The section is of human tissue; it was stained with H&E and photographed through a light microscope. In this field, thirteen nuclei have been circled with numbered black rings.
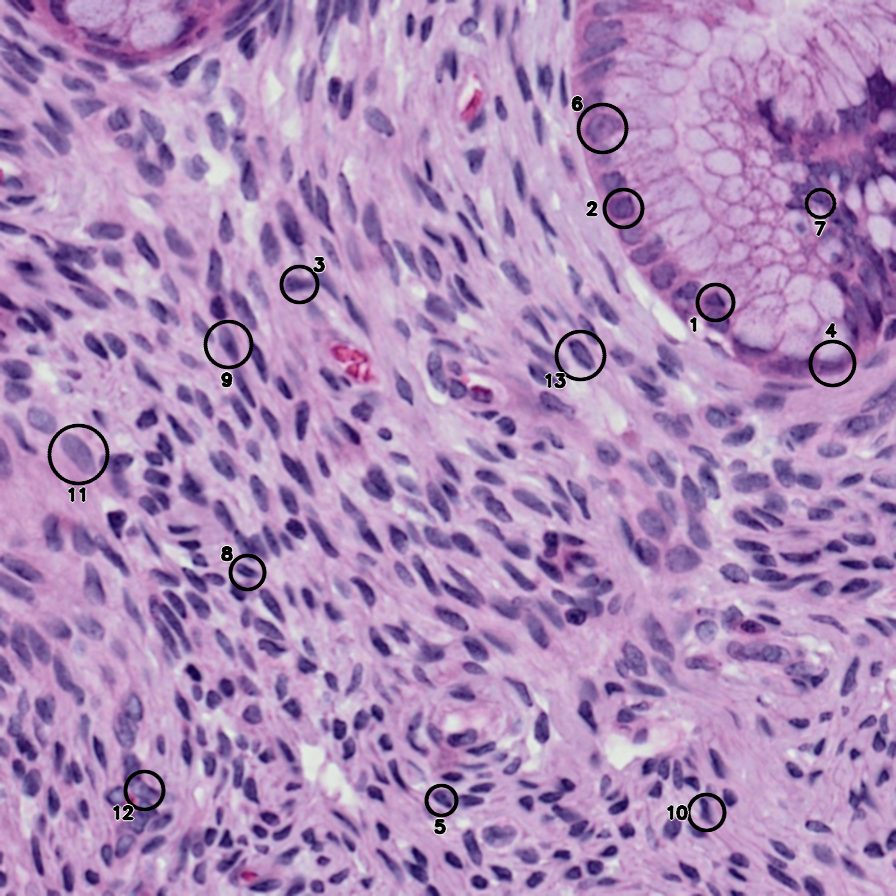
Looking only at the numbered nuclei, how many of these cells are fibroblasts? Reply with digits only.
7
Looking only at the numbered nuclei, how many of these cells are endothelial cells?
1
